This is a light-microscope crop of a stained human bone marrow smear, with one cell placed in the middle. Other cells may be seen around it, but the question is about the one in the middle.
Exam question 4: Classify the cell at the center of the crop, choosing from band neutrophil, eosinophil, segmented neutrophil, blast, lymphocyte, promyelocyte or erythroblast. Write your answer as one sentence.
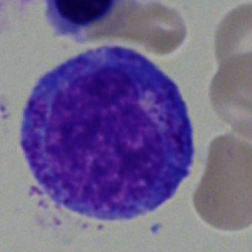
The cell of interest, in the center, is a promyelocyte.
